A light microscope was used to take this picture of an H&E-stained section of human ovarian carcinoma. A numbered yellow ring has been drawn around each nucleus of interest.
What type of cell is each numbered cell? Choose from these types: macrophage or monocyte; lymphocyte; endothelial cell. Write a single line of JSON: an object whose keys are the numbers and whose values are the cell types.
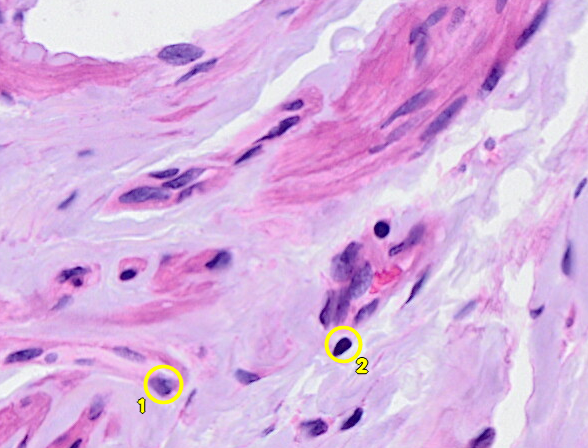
{"1": "endothelial cell", "2": "lymphocyte"}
